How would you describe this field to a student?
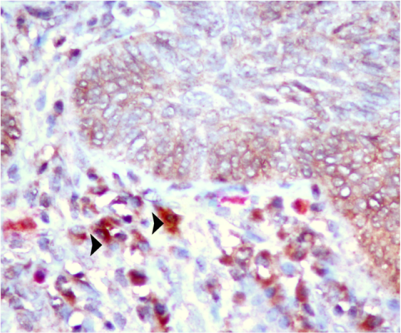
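The field shows a nest of epithelial cells at the upper right bordered by a stroma densely filled with inflammatory cells at the lower left. The stroma holds many small round inflammatory cells with compact blue nuclei. Numerous of these cells carry red or brown cytoplasmic stain, and some show both colours together. The inflammatory cells lie close against the edge of the epithelial nest.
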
